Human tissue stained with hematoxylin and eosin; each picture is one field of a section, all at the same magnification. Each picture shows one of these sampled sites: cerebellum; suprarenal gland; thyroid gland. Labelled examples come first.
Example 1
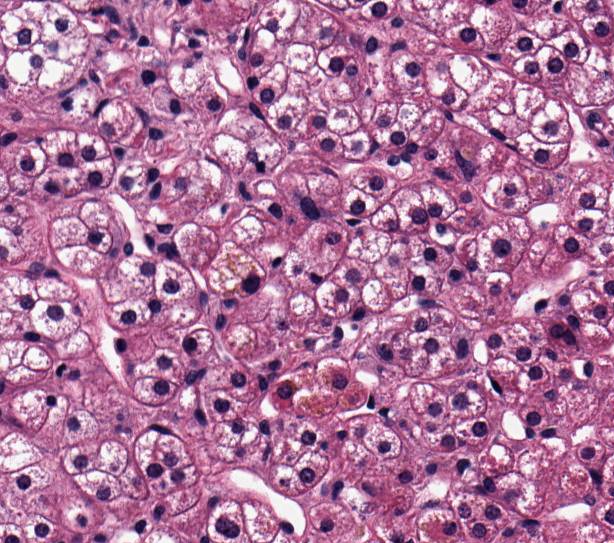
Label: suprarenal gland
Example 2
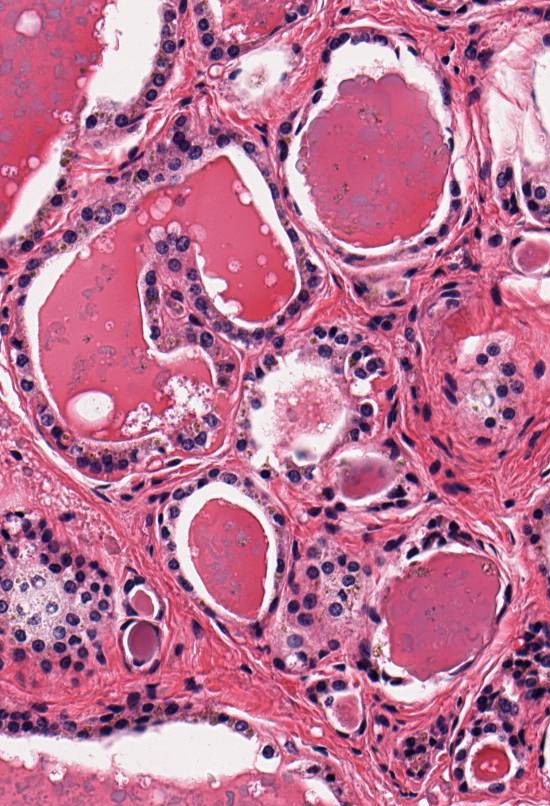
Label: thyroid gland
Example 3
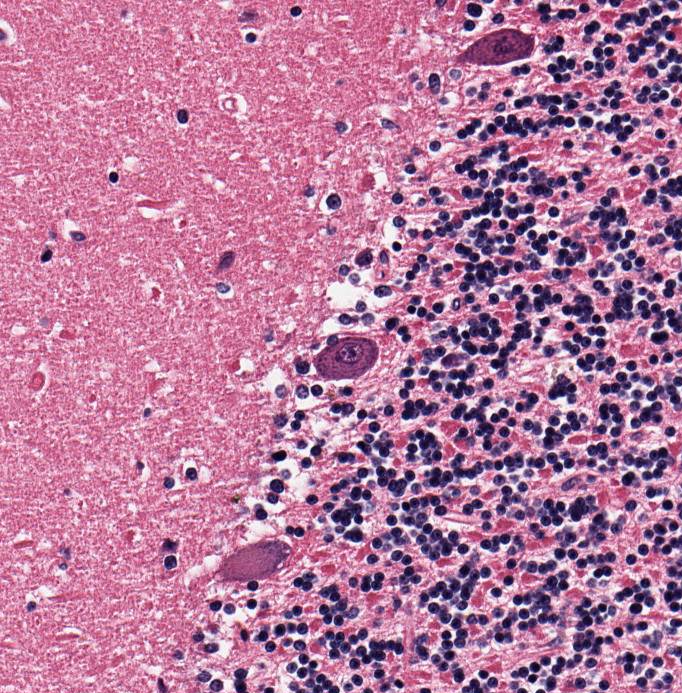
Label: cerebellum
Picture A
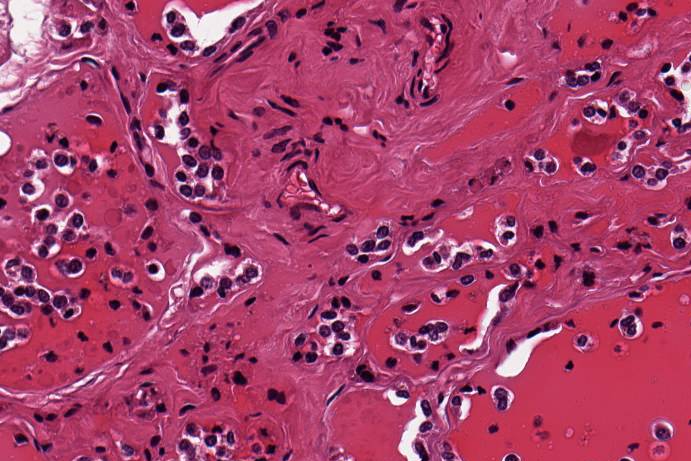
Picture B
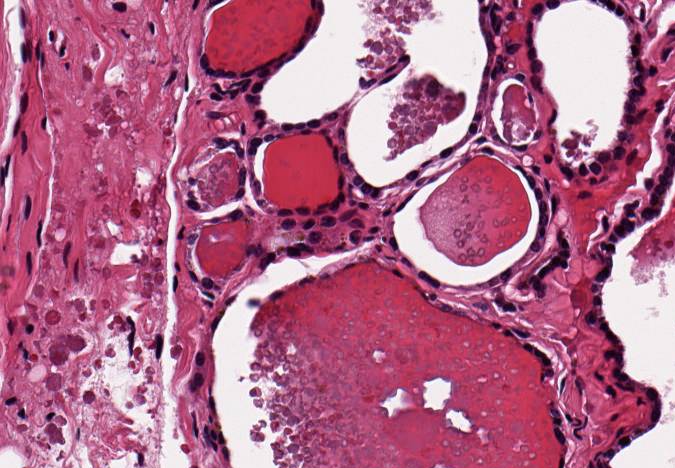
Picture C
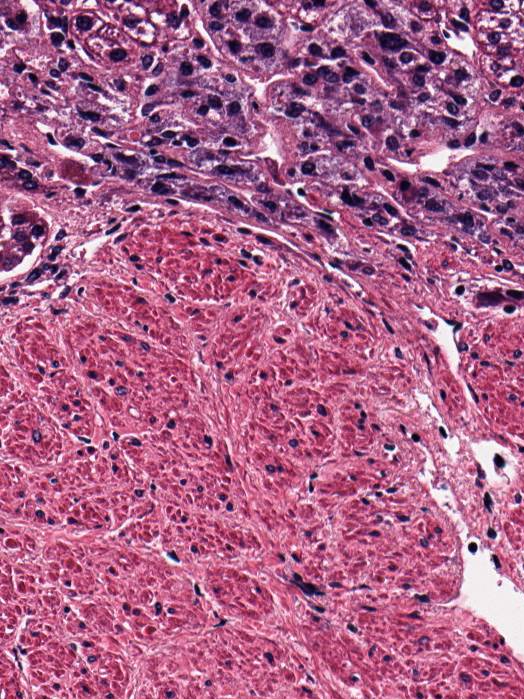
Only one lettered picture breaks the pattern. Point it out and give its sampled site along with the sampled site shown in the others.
Different: C, suprarenal gland. Others: thyroid gland.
